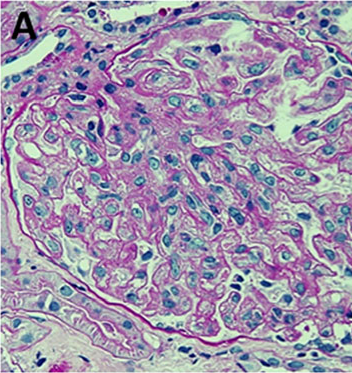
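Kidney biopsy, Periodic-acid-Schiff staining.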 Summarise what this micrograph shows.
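The tuft is diffusely crowded with blue nuclei, and the capillary loops are swollen with their lumina largely obscured. The hypercellularity involves the whole tuft rather than a single segment.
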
